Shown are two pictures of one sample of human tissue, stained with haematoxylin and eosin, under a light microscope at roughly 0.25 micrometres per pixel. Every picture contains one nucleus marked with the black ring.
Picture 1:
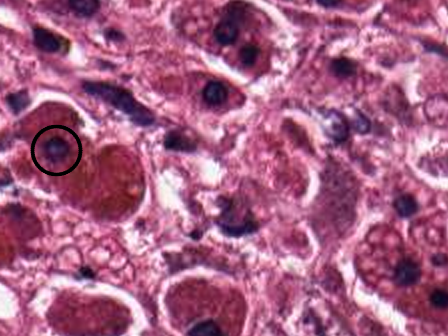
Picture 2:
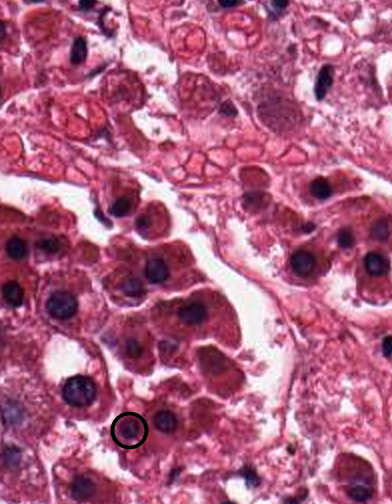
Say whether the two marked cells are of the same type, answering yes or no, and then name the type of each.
Yes, both are adrenal cortical cells.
